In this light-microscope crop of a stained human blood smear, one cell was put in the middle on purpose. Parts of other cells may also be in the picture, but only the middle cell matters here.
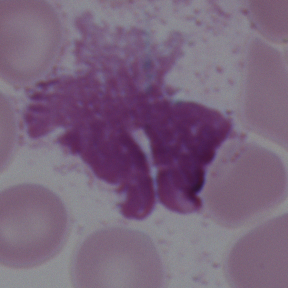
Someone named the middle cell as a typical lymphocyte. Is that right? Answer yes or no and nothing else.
no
